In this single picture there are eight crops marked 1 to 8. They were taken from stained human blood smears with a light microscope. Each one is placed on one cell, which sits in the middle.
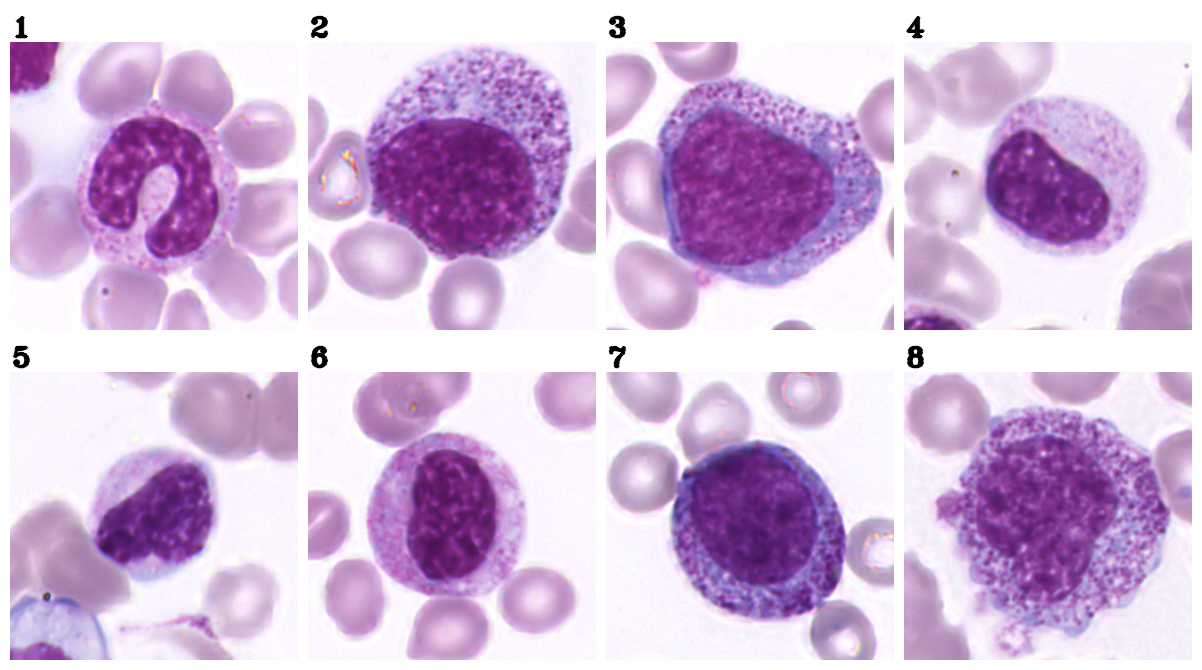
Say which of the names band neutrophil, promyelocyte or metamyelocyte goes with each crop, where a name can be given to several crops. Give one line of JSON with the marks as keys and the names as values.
{"1": "band neutrophil", "2": "promyelocyte", "3": "promyelocyte", "4": "metamyelocyte", "5": "band neutrophil", "6": "metamyelocyte", "7": "promyelocyte", "8": "promyelocyte"}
